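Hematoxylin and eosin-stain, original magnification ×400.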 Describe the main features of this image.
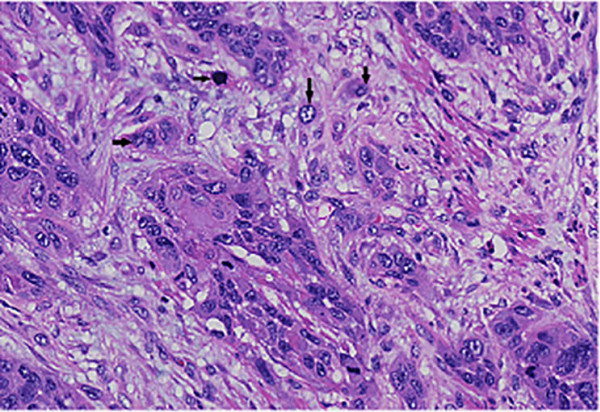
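Invasive carcinoma with tumor cells infiltrating the stroma, including isolated single cells. Tumor cells form irregular cords and nests with abundant pink cytoplasm and large, oval, purple nuclei with visible nucleoli. Between the nests lies loose, pale stroma with clear vacuolated spaces. Scattered in this stroma are single detached tumor cells, some with dark, condensed nuclei, lying apart from the nests.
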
